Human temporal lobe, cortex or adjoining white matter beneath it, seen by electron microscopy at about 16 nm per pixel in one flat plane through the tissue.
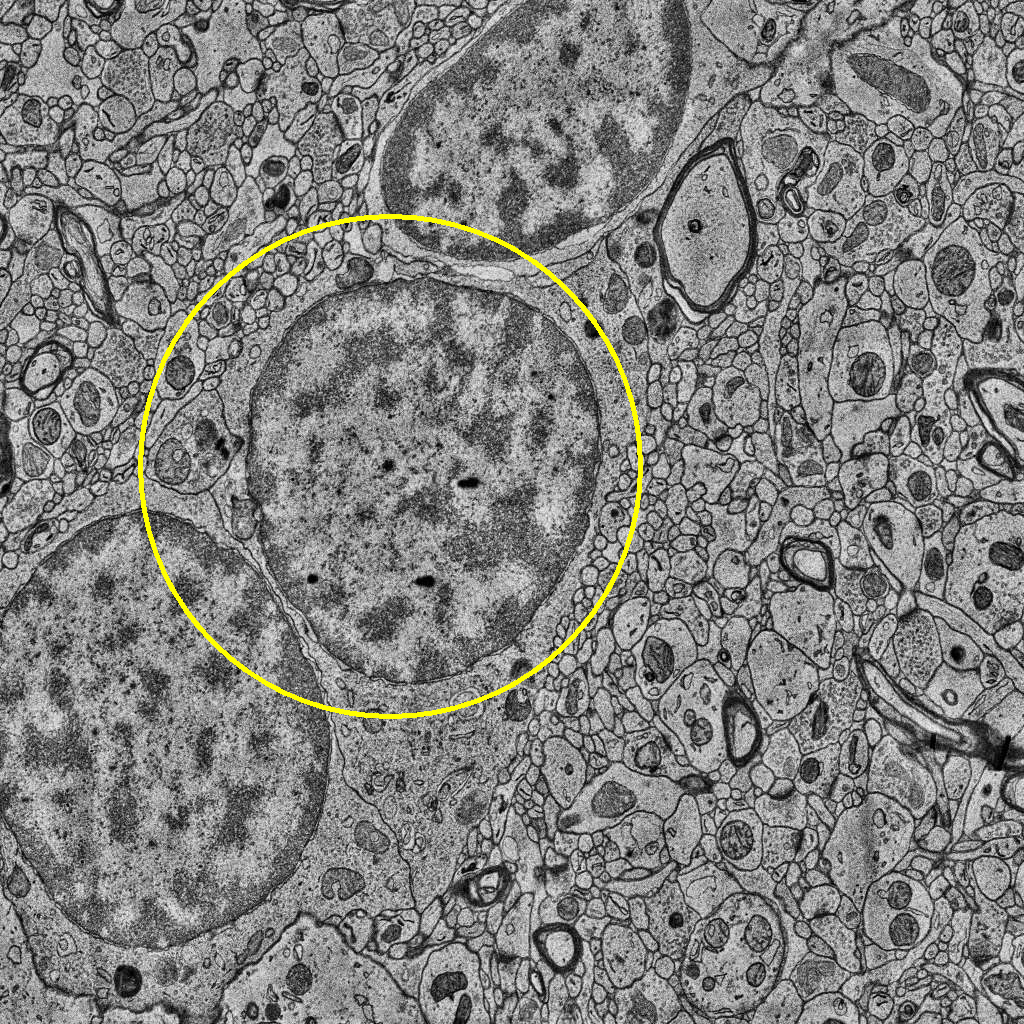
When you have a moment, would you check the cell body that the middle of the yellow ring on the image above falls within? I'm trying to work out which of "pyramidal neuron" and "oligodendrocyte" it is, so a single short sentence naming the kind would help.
This cell body belongs to an oligodendrocyte.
